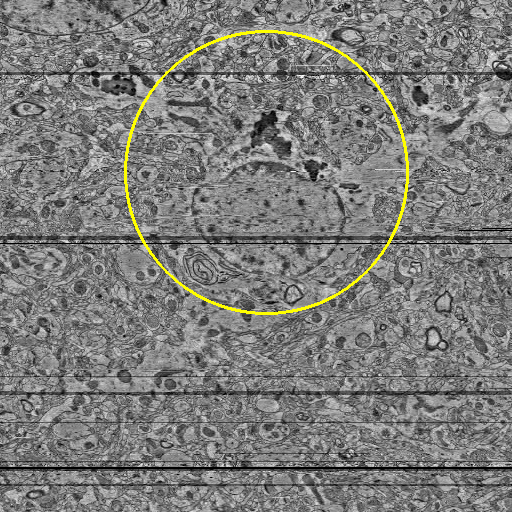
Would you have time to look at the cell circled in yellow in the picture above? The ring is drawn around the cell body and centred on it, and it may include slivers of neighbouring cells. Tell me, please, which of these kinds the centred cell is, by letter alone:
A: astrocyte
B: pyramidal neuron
A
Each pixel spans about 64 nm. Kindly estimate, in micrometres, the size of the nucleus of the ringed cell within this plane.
About 9 micrometres across in this plane.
